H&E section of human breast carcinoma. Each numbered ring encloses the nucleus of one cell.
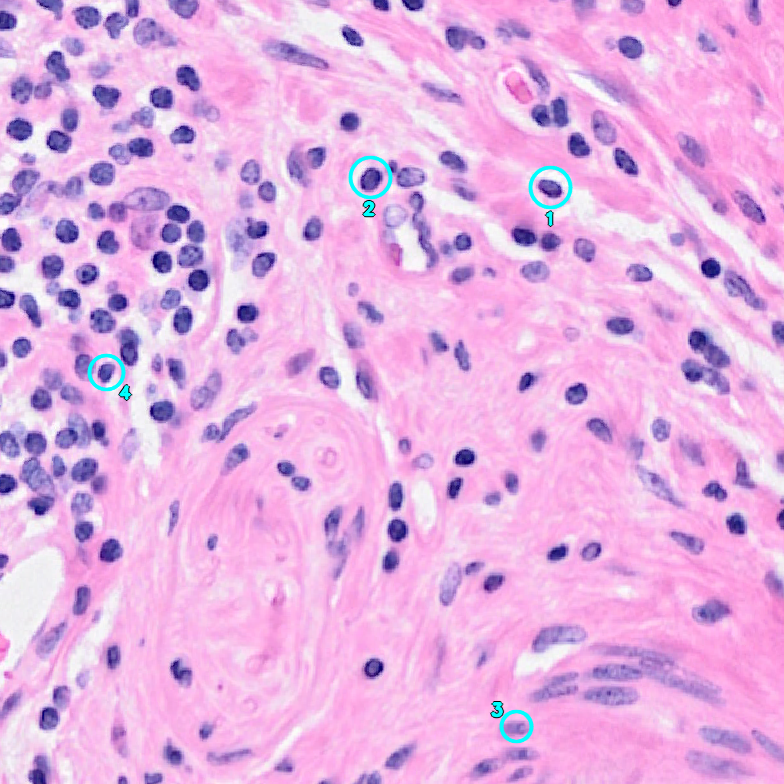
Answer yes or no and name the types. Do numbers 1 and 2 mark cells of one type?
Yes, it is as lymphocytes that cells 1 and 2 are both classified.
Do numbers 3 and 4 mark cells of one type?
No, in contrast to cell 4, which is a lymphocyte, cell 3 is an endothelial cell.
